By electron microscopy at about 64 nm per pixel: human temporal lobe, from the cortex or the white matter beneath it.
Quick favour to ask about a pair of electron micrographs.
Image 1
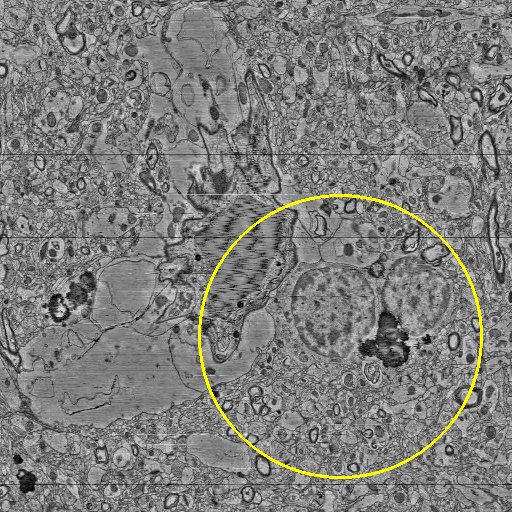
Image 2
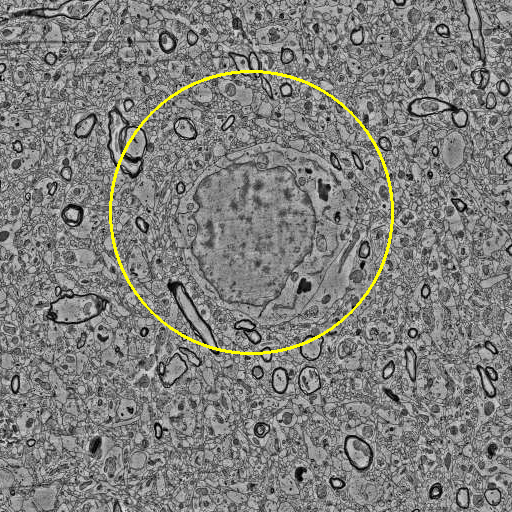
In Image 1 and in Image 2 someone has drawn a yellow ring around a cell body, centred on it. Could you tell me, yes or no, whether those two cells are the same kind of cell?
no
